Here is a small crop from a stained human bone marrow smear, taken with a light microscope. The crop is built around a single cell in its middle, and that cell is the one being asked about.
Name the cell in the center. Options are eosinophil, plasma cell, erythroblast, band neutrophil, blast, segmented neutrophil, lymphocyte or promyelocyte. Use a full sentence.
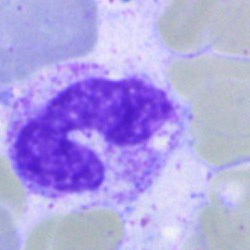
Of the cells in this crop, the central one is a band neutrophil.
